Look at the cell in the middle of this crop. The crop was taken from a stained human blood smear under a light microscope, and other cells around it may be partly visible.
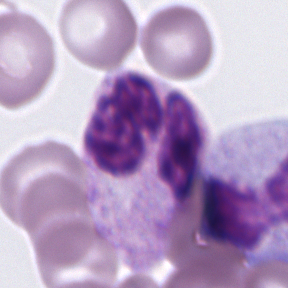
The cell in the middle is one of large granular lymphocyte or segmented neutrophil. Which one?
segmented neutrophil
